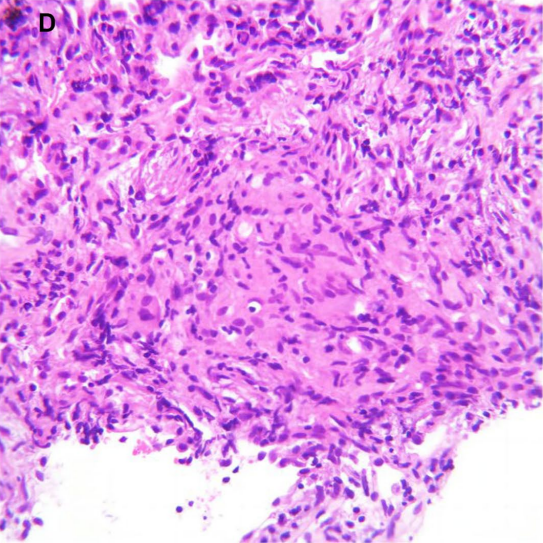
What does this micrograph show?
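The epithelioid cells in the centre have abundant pale pink cytoplasm with indistinct borders and oval to elongated pale nuclei. Around them, spindle cells with slender elongated nuclei lie in a pink fibrous stroma, in places in a loosely swirled pattern. Small round cells with dense dark purple nuclei and little cytoplasm are scattered through the tissue, mostly toward its upper and lower margins. No area of necrotic debris is seen within the aggregate.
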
